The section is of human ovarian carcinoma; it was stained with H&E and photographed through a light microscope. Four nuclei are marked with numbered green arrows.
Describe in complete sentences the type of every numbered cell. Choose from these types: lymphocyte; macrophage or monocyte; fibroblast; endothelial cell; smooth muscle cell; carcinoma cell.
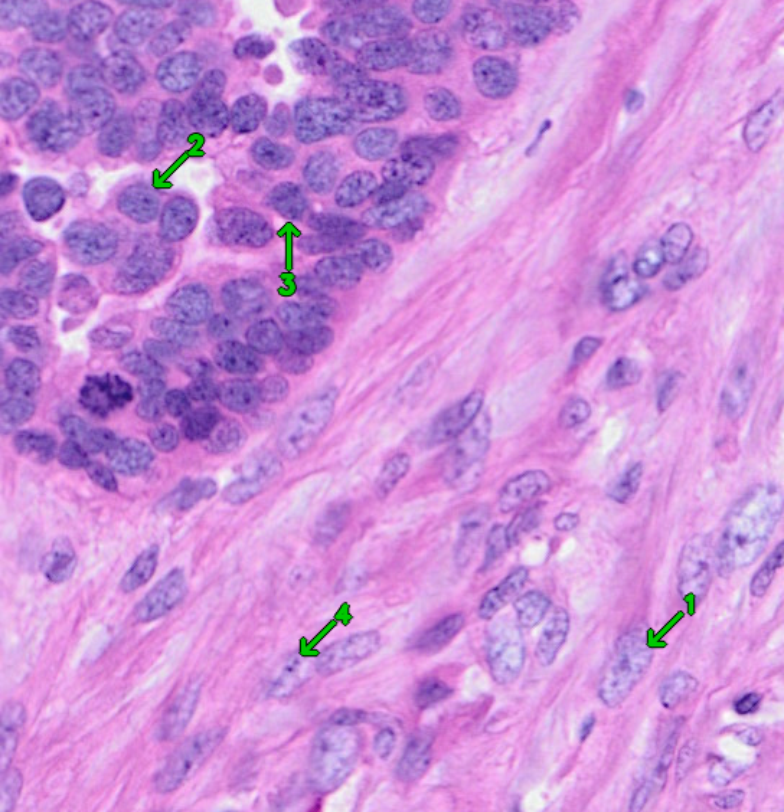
Cells 1 and 4 are fibroblasts. Cells 2 and 3 are carcinoma cells.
